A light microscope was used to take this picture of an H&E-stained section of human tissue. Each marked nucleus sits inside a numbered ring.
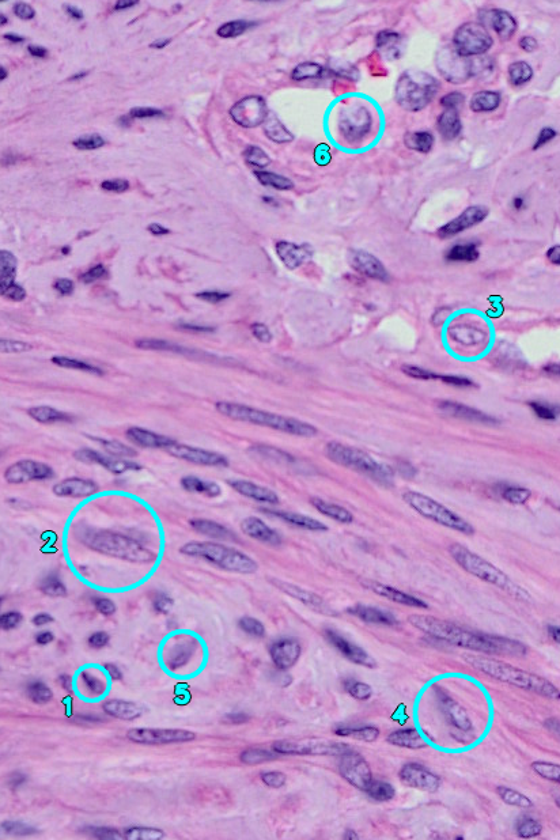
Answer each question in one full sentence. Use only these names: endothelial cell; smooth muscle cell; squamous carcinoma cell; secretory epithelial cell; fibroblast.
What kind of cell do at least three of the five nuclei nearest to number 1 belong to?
Smooth muscle cells make up most of the five nuclei closest to number 1.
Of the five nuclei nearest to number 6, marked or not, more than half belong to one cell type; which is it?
Most of the five nuclei nearest to number 6 are those of endothelial cells.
